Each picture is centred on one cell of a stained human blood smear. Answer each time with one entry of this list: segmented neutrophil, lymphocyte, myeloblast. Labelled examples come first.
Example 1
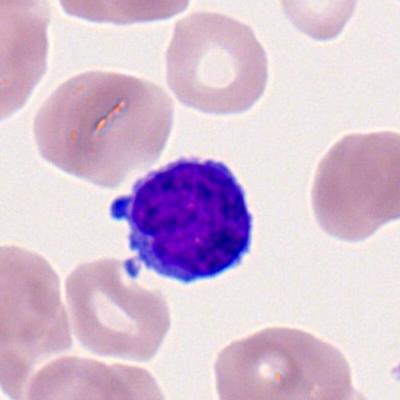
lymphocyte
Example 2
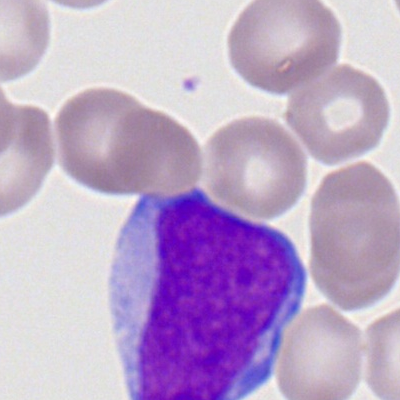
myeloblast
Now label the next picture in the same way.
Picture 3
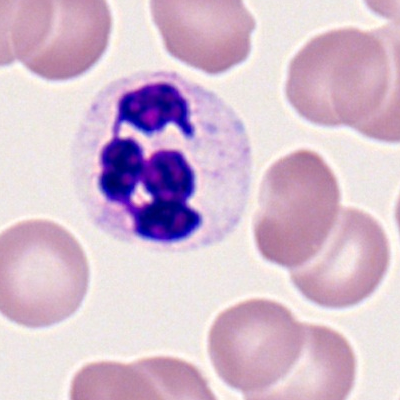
segmented neutrophil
